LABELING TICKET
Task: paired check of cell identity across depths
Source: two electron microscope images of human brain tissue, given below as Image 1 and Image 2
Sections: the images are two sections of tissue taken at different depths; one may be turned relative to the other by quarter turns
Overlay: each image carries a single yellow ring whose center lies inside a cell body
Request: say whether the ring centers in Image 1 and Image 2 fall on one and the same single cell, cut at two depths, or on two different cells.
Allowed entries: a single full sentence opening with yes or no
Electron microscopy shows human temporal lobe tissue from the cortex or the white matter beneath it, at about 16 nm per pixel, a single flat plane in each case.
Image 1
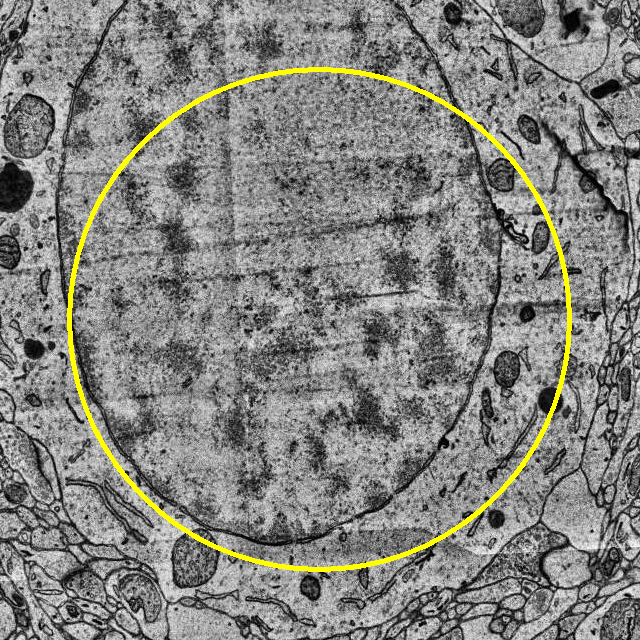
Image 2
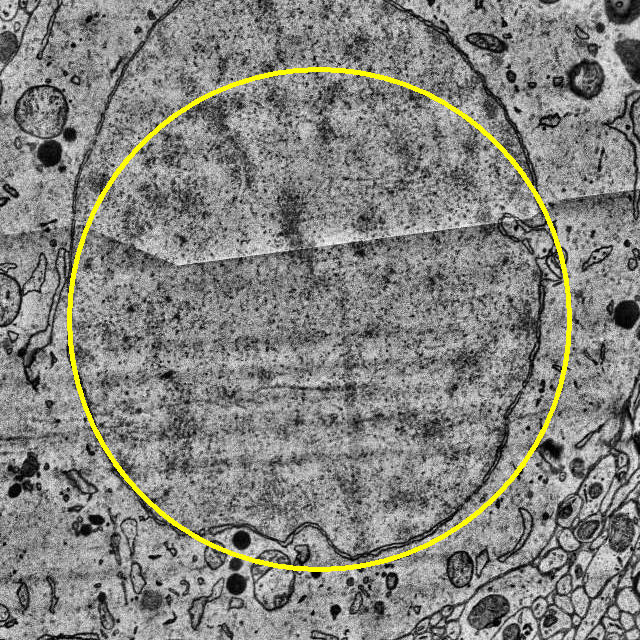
No, the yellow rings highlight two different cells in the tissue.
